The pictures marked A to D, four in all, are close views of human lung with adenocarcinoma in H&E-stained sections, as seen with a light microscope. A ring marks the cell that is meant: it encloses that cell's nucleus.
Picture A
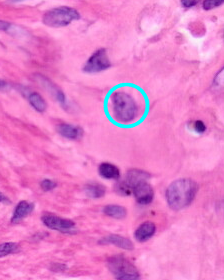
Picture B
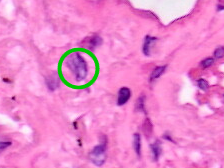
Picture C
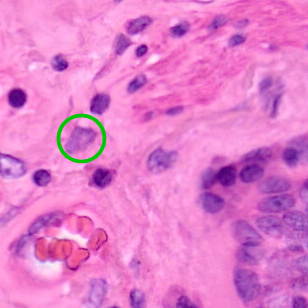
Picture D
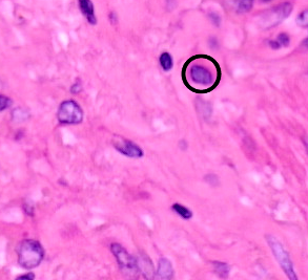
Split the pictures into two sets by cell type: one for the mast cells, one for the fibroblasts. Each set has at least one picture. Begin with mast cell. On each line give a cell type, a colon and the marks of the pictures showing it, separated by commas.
mast cell: D
fibroblast: A, B, C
